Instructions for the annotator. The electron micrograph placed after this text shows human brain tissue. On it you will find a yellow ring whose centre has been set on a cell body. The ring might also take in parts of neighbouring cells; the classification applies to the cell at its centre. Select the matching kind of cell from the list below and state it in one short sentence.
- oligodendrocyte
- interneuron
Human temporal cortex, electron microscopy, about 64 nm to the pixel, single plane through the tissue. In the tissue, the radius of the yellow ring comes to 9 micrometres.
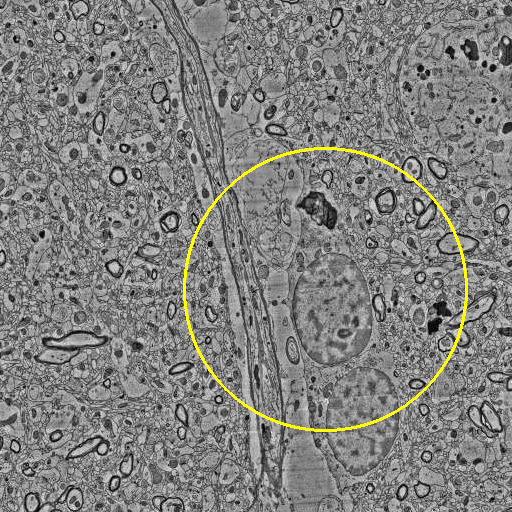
The ring is drawn on the cell body of an oligodendrocyte.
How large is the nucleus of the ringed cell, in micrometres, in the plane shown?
Roughly 7 by 5 micrometres is the size of the nucleus in this plane.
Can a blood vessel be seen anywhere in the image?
Yes.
